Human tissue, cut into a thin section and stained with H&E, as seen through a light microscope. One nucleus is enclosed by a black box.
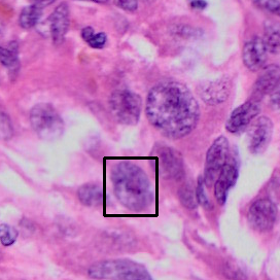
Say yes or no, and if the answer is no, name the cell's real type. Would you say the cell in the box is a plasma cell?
No, it is a melanoma cell.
